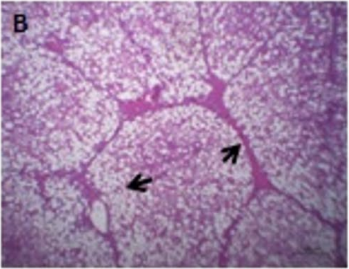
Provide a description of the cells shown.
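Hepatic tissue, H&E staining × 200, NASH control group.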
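Liver parenchyma at low power, largely replaced by small, round, clear vacuoles within the hepatocytes, so that the tissue looks foamy and pale with only thin threads of pink cytoplasm between vacuoles. Dense, deeper-pink fibrous bands run across the field, meet one another and divide the parenchyma into rounded islands. A few vessel lumina lie within the bands. Single nuclei are hard to make out at this magnification; no normal solid cords of pink hepatocytes are left.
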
